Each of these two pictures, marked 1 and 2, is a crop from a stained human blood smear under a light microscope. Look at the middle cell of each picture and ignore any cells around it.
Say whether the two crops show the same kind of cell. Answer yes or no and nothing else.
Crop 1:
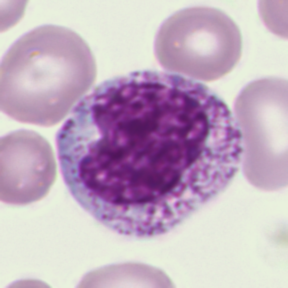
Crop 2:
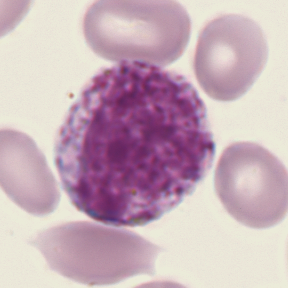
no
